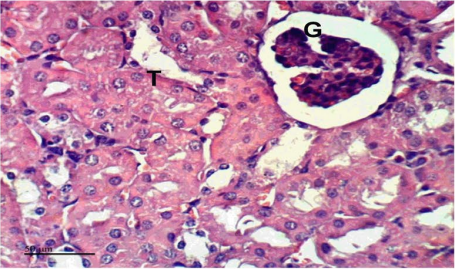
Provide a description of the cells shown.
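Renal cortex with a glomerulus and surrounding renal tubules. The glomerulus is a compact tuft of densely packed, dark purple nuclei lying within a clear space bounded by a thin capsule. The tubules are lined by cuboidal epithelial cells with pink cytoplasm and round, centrally placed nuclei around small lumens. Narrow spaces separate the tubules.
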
